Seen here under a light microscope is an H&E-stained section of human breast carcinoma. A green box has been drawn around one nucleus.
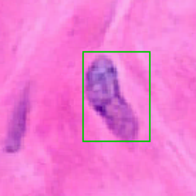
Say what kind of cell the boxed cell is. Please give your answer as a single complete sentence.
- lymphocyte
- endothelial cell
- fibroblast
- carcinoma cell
As a matter of cell type, the boxed cell is a fibroblast.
